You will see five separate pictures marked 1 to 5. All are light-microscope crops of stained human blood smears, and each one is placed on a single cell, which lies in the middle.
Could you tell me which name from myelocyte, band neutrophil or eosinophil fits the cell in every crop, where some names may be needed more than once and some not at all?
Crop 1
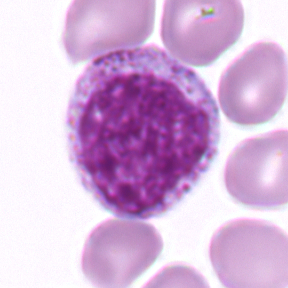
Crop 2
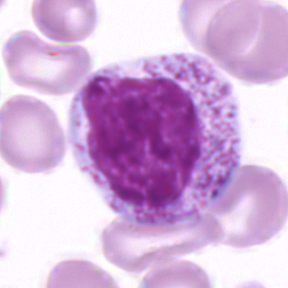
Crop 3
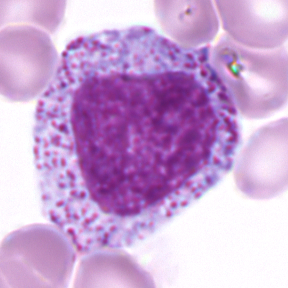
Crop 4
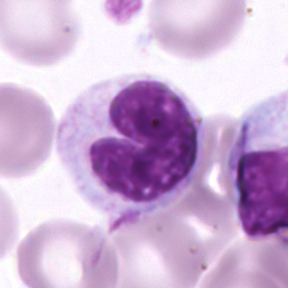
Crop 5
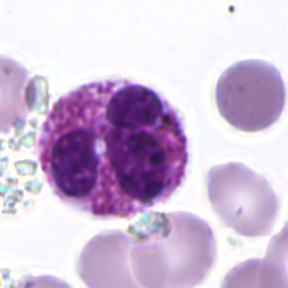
1: myelocyte
2: myelocyte
3: myelocyte
4: band neutrophil
5: eosinophil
